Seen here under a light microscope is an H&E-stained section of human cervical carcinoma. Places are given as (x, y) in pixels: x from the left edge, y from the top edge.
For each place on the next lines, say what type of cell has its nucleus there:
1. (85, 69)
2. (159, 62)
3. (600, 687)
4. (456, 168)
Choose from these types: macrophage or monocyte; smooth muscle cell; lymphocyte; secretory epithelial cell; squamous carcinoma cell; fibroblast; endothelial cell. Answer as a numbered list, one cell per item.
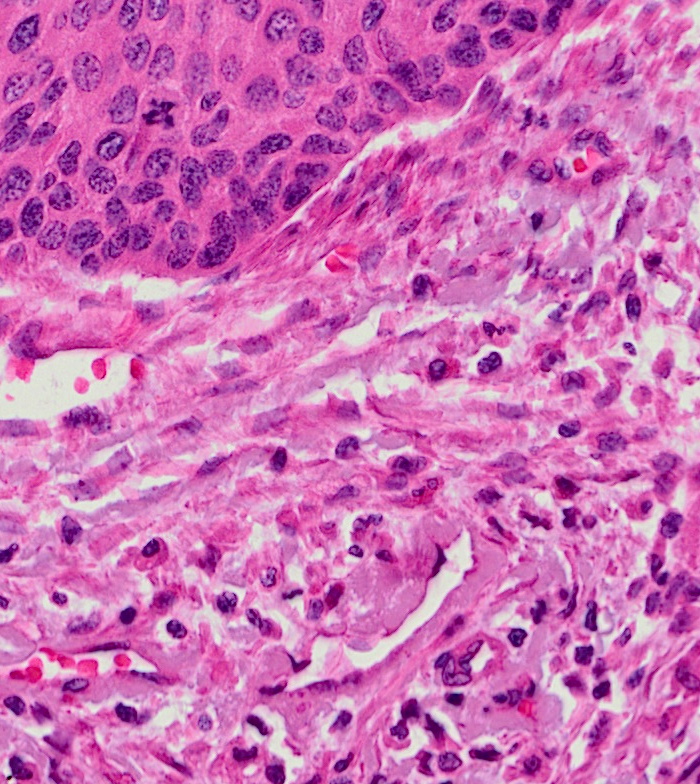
1. squamous carcinoma cell
2. squamous carcinoma cell
3. lymphocyte
4. fibroblast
